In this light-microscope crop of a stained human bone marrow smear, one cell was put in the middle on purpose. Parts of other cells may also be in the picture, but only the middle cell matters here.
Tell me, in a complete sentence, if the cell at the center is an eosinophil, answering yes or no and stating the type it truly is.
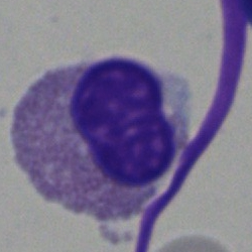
Yes, the cell that occupies the centre is an eosinophil.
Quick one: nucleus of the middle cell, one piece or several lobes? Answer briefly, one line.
Have a look at the nucleus, which is one compact mass, round, oval or kidney-shaped.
